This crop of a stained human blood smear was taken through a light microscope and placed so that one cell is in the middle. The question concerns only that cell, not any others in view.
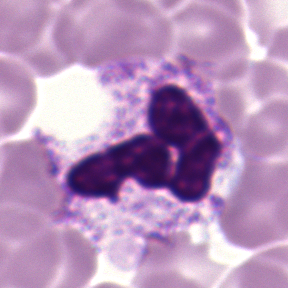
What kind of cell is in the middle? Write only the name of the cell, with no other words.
segmented neutrophil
